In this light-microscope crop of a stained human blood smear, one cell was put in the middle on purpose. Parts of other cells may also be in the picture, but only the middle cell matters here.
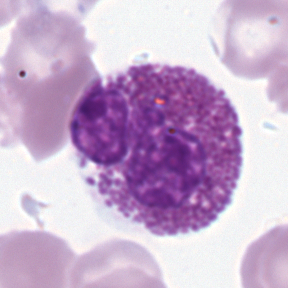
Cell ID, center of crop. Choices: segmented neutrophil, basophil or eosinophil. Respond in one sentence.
Answering briefly, the cell in the middle is an eosinophil.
